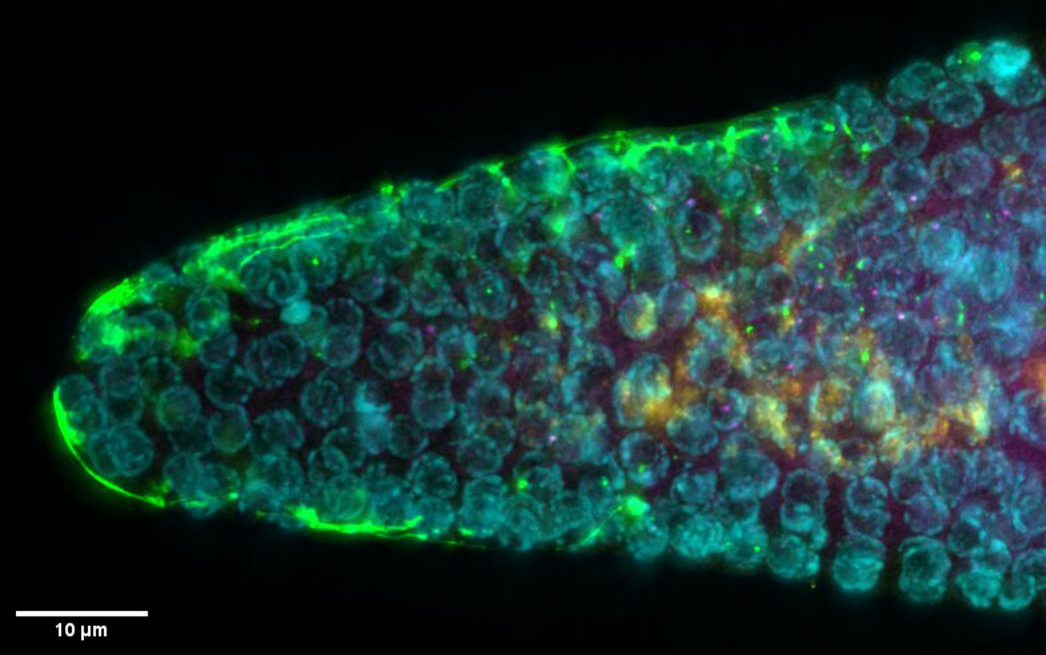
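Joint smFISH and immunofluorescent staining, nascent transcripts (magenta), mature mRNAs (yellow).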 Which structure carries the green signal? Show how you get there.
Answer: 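A bright green cell caps the rounded distal end of the tube. Thin green processes extend from the tip back along the surface, between the outer nuclei.
Stem cell niche.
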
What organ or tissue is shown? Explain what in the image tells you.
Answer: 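A tube with a rounded closed end is packed with many small, uniform round nuclei.
Answer: germline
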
